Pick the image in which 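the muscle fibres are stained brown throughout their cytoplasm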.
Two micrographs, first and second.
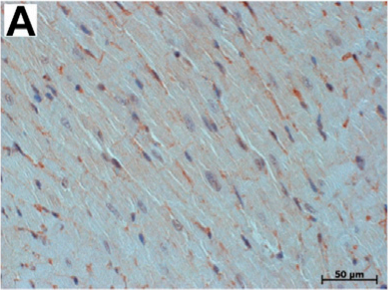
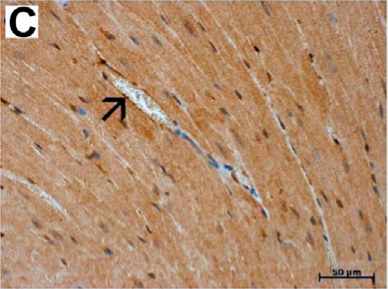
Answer: The second image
